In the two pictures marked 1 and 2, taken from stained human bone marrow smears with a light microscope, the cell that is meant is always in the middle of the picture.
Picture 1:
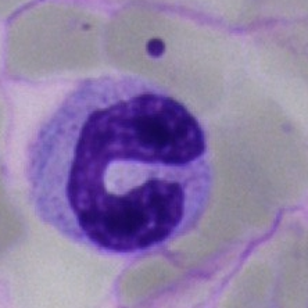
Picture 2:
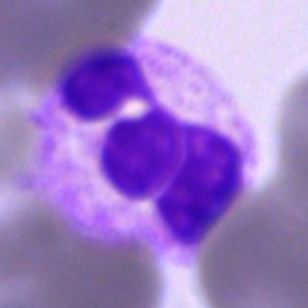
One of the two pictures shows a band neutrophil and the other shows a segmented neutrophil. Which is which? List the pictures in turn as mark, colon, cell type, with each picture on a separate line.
1: band neutrophil
2: segmented neutrophil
